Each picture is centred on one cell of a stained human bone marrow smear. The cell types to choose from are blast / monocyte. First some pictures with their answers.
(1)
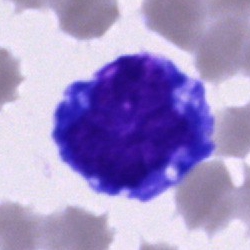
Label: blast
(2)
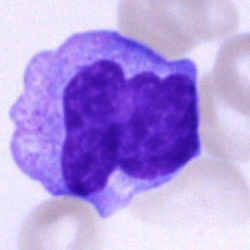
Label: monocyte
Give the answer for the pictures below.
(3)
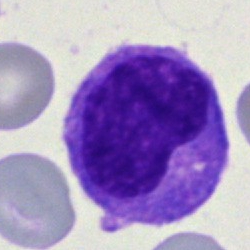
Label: monocyte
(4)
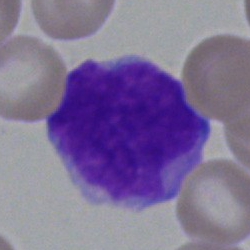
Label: blast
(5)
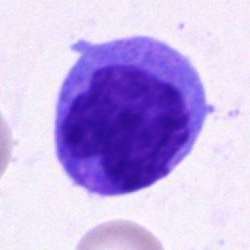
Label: monocyte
